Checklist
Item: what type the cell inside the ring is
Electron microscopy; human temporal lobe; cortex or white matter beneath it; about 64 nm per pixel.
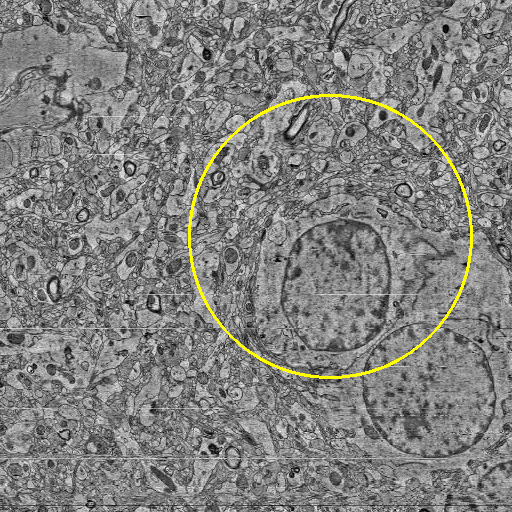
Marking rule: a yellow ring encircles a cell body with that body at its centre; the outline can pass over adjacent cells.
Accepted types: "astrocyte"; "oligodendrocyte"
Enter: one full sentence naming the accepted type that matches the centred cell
The entry is that an astrocyte lies at the centre of the yellow ring.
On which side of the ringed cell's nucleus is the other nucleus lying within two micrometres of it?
The other nucleus appears to the lower right of it.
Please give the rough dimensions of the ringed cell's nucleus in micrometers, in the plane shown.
Roughly 9 micrometres by 7 micrometres, in this plane.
